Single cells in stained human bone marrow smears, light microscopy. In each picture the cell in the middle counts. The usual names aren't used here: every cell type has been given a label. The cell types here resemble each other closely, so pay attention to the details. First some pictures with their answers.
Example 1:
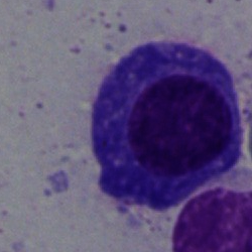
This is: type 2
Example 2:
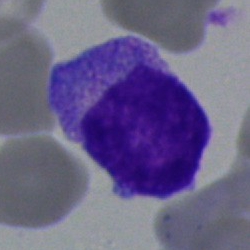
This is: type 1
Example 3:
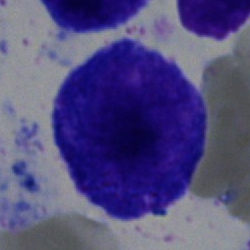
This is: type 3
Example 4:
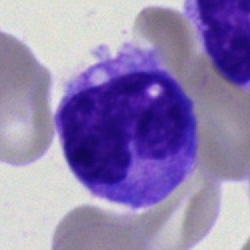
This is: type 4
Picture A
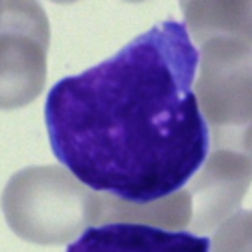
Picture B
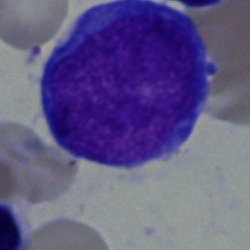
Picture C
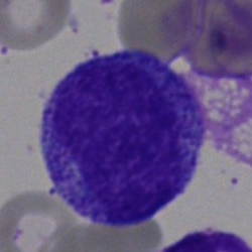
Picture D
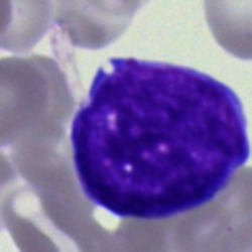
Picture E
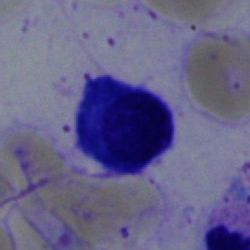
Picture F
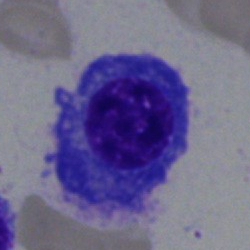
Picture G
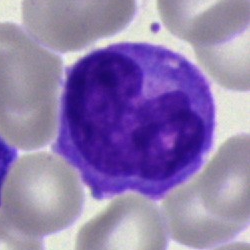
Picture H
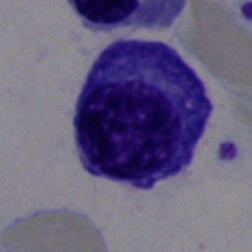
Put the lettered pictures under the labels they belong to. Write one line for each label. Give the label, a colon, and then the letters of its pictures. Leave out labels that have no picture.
type 2: E, F, H
type 1: A, B, D
type 3: C
type 4: G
